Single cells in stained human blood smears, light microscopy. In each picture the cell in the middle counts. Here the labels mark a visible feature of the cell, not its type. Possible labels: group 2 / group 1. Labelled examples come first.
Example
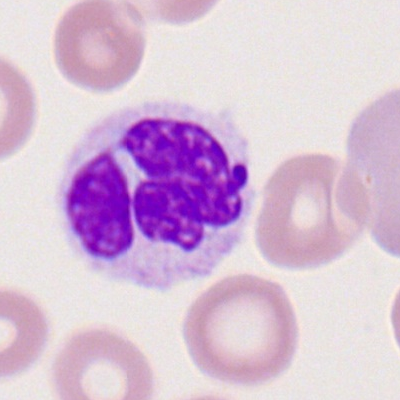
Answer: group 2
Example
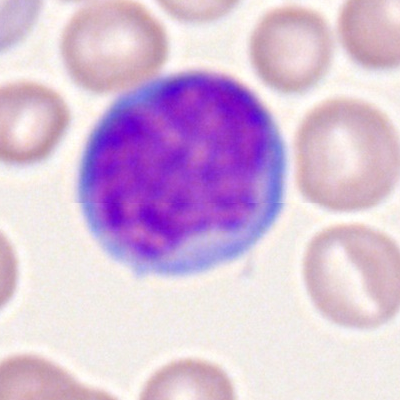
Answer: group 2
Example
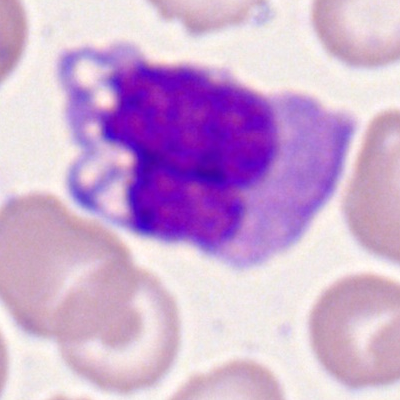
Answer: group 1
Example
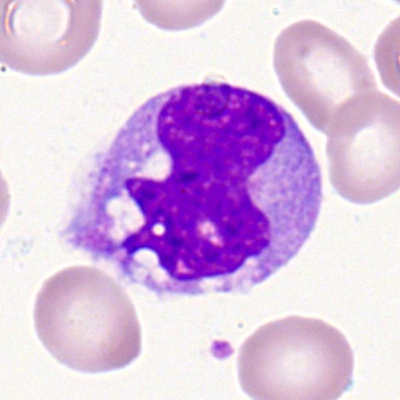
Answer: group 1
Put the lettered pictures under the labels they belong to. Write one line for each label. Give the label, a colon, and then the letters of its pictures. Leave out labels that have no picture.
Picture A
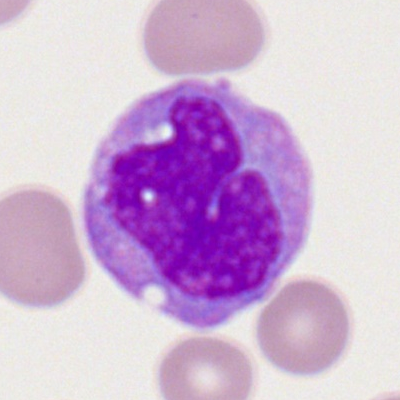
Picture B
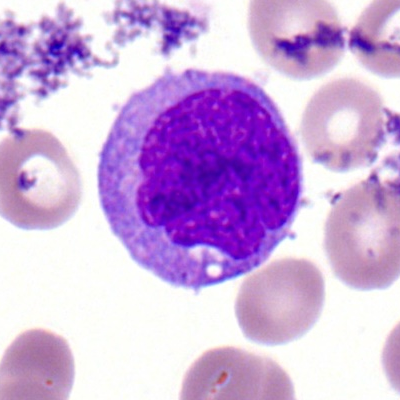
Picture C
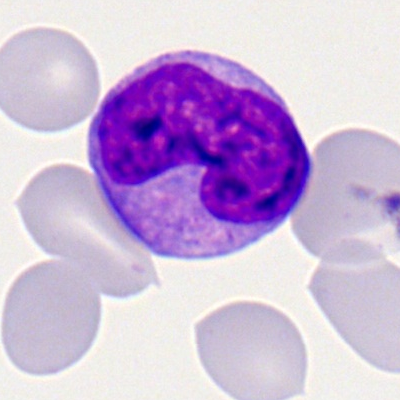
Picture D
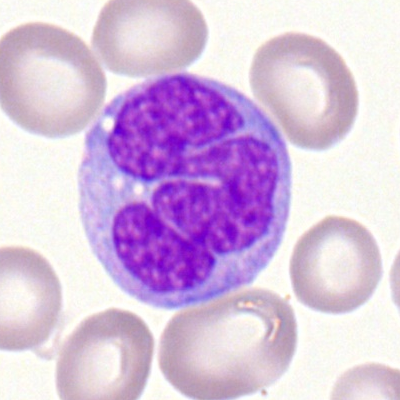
group 2: C
group 1: A, B, D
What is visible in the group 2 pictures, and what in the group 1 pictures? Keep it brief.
group 2: no vacuoles; group 1: vacuoles present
